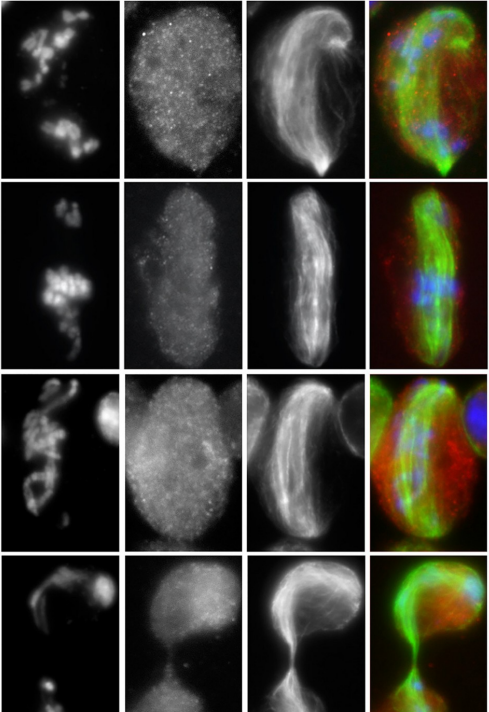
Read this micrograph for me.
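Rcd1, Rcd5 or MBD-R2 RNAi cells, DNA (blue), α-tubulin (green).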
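Mitotic cells with abnormally elongated spindles, shown as separate channels and a colour merge. The green microtubule arrays are long, several arched or bowed along the cell, while the blue chromosomes stay condensed and irregularly scattered instead of forming two clean groups. One cell shows a spindle pinched at its middle between two bulging halves, each holding chromosome clumps.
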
